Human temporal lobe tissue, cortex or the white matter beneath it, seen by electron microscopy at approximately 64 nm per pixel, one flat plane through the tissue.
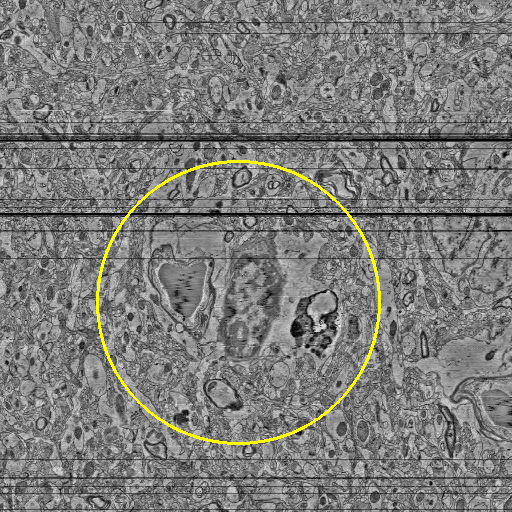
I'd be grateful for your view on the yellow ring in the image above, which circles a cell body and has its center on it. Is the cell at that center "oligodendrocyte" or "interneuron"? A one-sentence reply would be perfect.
The cell at the center of the yellow ring is an oligodendrocyte.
